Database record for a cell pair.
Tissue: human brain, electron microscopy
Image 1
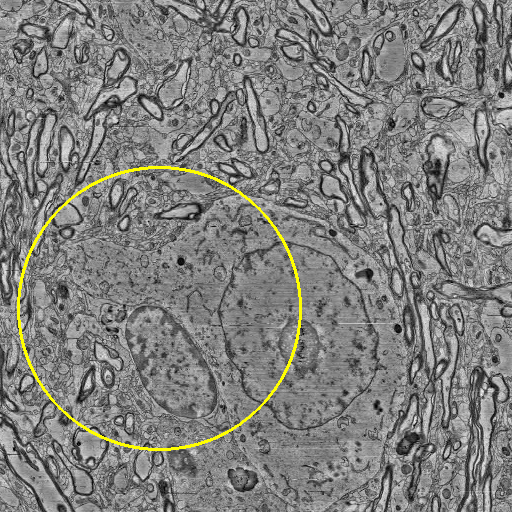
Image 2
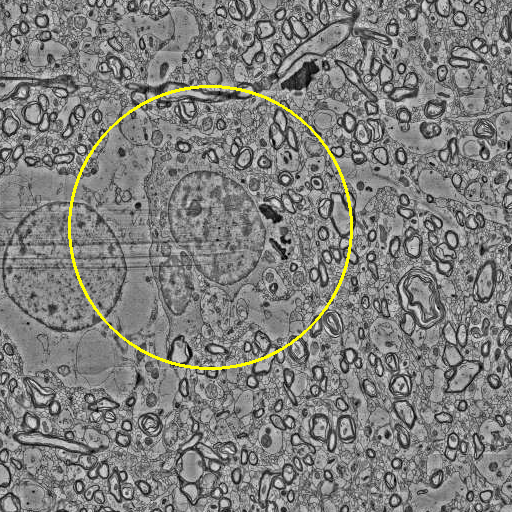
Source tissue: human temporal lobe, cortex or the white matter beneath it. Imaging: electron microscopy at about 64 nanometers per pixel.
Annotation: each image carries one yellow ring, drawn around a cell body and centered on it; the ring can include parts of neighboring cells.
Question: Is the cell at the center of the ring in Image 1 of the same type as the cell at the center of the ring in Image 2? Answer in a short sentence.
No, the cells are of two types.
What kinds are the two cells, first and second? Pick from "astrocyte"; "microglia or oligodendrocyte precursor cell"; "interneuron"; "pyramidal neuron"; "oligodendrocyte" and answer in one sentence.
The second picture holds an oligodendrocyte in its ring, and the first holds a microglial cell or oligodendrocyte precursor cell.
